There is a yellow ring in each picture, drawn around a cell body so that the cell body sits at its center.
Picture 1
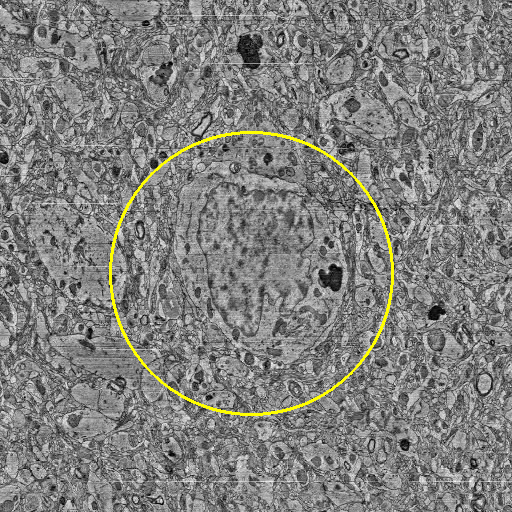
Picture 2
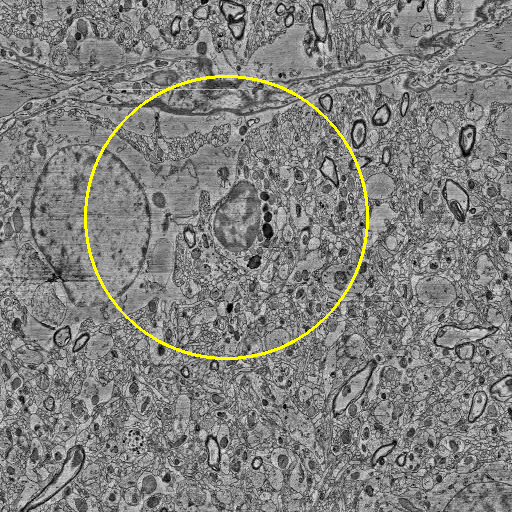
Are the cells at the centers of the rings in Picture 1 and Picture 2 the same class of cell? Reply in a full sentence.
No, the two cells are two classes of cell.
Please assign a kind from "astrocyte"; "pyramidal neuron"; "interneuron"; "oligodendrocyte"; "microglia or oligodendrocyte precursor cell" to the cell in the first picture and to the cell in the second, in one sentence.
In the first picture we have an interneuron, and in the second, a microglial cell or oligodendrocyte precursor cell.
